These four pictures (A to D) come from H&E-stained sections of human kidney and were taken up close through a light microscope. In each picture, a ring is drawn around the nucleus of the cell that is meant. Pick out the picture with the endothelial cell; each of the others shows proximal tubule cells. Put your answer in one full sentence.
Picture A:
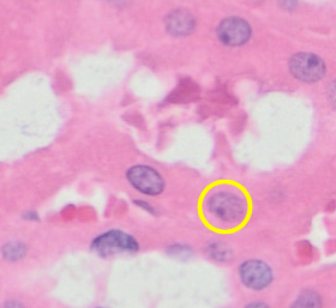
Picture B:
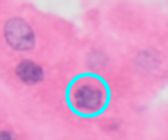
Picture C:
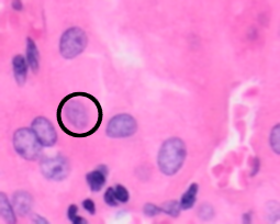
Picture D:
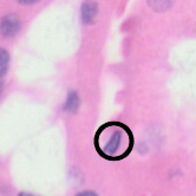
The cell in picture D is the endothelial cell.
